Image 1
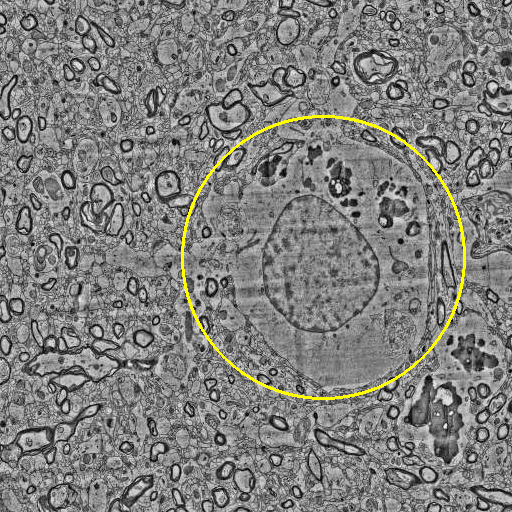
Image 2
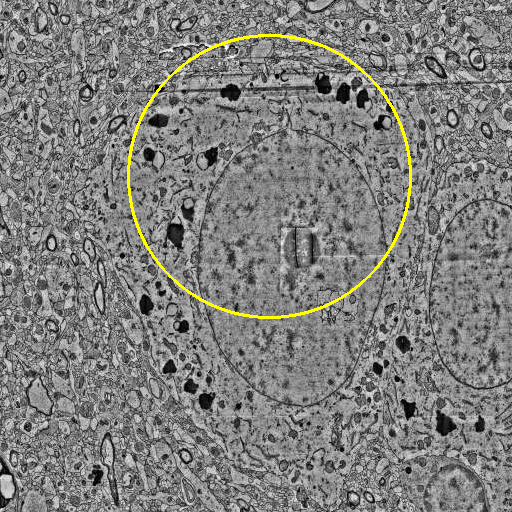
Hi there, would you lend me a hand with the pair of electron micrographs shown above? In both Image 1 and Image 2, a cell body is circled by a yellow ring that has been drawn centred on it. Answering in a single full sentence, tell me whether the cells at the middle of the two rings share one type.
No, the ringed cells in Image 1 and Image 2 belong to two types.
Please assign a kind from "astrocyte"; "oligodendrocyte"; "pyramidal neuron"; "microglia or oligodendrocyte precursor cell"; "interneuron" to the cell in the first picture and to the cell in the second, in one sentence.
In the first picture we have an astrocyte, and in the second, a pyramidal neuron.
